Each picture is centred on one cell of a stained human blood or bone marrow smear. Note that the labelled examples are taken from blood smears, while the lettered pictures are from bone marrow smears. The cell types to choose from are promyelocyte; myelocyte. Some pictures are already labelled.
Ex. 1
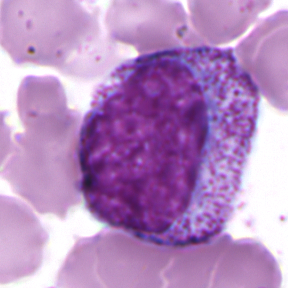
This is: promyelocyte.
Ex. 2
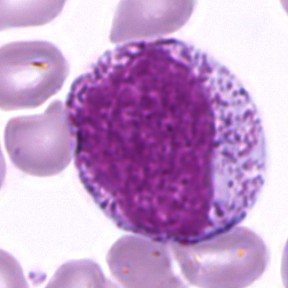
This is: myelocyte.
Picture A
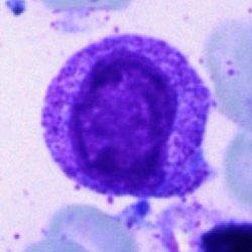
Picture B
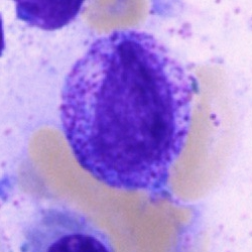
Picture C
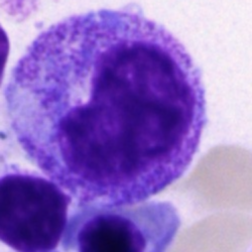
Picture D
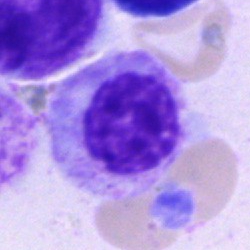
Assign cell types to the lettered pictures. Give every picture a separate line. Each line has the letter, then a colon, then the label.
A: promyelocyte.
B: myelocyte.
C: promyelocyte.
D: myelocyte.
